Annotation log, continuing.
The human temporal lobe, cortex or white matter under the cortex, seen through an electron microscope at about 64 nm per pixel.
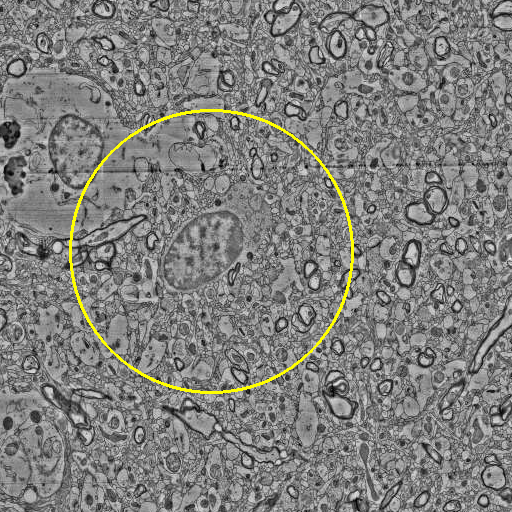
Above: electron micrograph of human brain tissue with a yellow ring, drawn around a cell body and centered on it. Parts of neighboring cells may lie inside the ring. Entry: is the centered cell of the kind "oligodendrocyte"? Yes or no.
Yes, the centered cell is of that kind.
